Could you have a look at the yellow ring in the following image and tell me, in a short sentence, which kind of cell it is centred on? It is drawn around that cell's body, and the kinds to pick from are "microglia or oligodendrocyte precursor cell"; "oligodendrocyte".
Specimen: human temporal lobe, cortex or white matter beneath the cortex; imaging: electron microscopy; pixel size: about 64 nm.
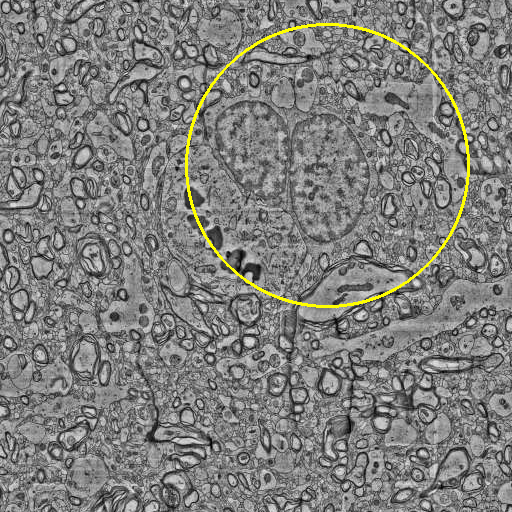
The ring is centred on the body of an oligodendrocyte.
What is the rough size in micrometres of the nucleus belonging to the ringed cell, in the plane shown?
Roughly 8 micrometres long and 5 micrometres wide; in this plane the nucleus is clearly longer than it is wide.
